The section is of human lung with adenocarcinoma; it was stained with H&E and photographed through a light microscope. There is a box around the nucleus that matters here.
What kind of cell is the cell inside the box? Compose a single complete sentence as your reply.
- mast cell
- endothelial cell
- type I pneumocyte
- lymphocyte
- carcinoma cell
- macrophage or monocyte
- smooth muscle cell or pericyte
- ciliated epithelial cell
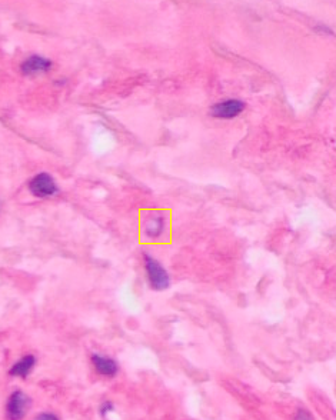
In the tissue under study, the cell inside the box is a smooth muscle cell or pericyte.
